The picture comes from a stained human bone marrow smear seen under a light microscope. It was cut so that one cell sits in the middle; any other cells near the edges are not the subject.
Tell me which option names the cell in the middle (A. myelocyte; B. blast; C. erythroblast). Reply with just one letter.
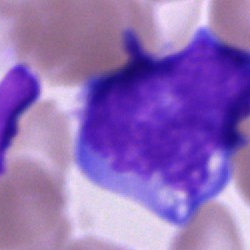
B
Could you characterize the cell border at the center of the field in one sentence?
The cell is bounded by a ragged or projection-bearing margin rather than a smooth one.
